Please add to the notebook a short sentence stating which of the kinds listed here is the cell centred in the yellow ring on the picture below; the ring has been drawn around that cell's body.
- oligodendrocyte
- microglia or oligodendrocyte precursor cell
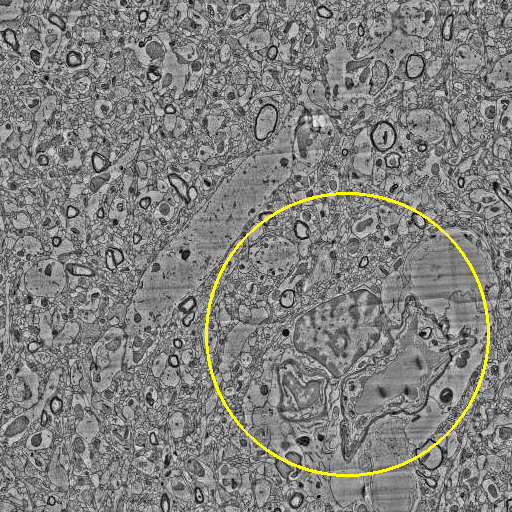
The cell centred in the yellow ring is a microglial cell or oligodendrocyte precursor cell.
